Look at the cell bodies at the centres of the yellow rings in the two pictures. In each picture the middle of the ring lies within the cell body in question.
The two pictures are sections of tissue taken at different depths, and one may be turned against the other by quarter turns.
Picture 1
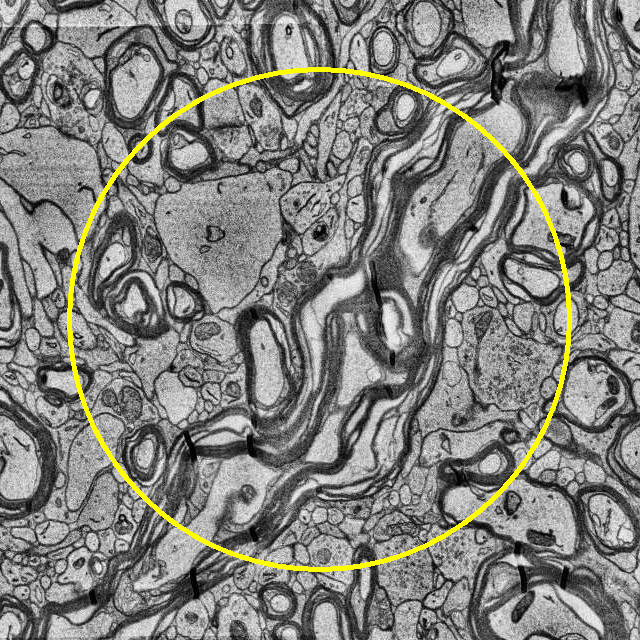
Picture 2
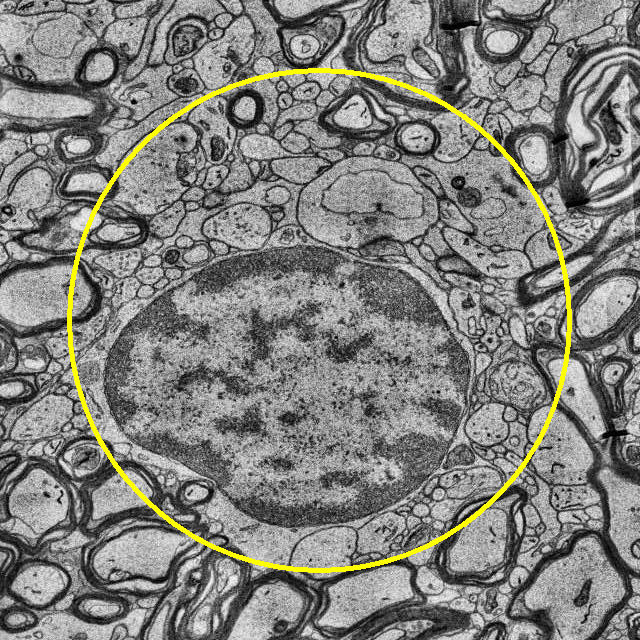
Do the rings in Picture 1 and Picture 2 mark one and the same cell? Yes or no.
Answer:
yes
